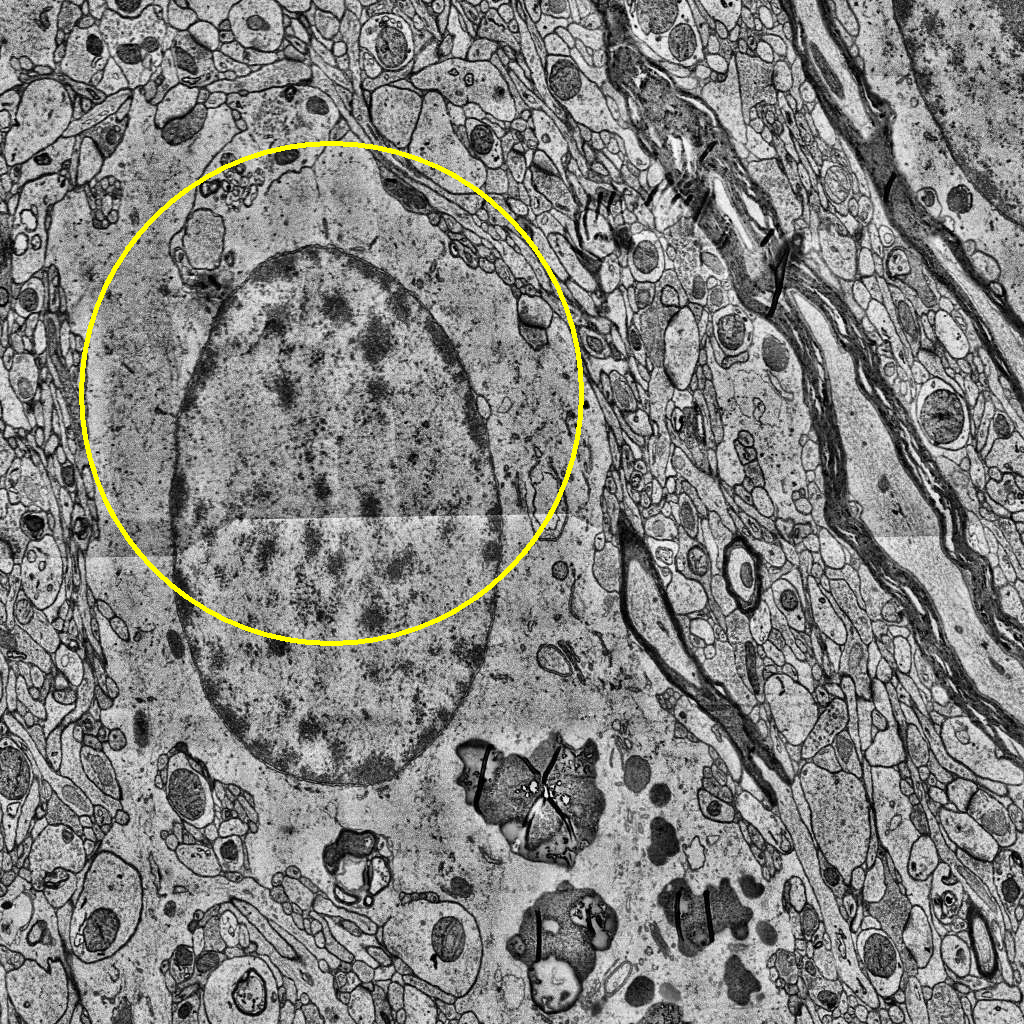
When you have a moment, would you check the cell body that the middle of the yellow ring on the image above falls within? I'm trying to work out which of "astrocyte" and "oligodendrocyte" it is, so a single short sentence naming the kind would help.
This cell body belongs to an astrocyte.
